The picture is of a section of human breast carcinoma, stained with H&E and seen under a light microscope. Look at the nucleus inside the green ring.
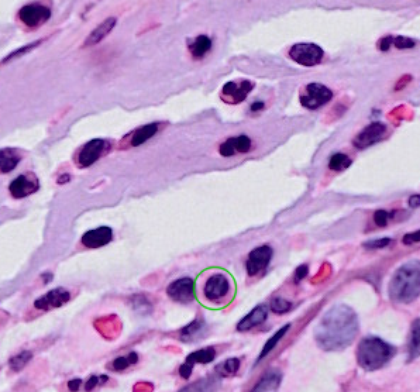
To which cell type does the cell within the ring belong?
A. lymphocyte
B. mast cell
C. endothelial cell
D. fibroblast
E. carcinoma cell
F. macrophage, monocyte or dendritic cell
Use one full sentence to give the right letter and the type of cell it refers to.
In agreement with option B, the cell within the ring is a mast cell.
